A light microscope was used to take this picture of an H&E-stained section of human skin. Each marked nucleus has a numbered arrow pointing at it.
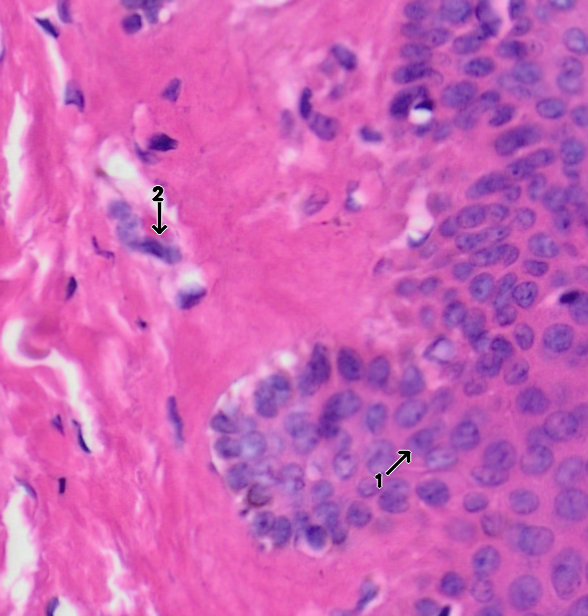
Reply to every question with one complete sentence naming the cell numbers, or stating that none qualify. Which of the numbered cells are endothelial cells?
The one cell that is an endothelial cell is cell 2, and no other.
